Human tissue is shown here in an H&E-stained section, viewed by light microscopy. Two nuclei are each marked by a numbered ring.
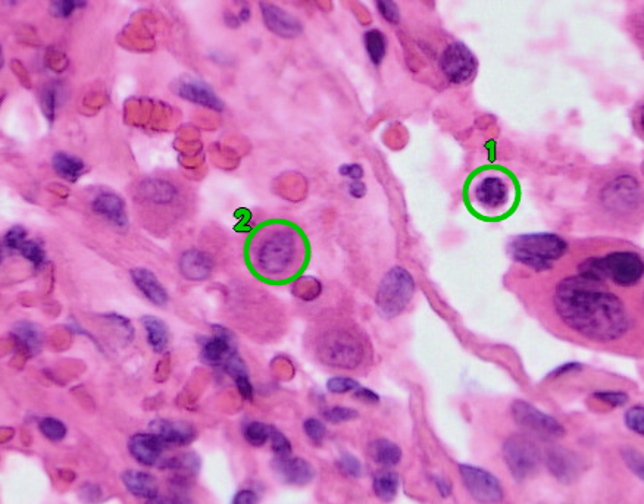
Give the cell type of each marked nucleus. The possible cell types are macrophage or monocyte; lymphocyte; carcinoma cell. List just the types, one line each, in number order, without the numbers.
lymphocyte
macrophage or monocyte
